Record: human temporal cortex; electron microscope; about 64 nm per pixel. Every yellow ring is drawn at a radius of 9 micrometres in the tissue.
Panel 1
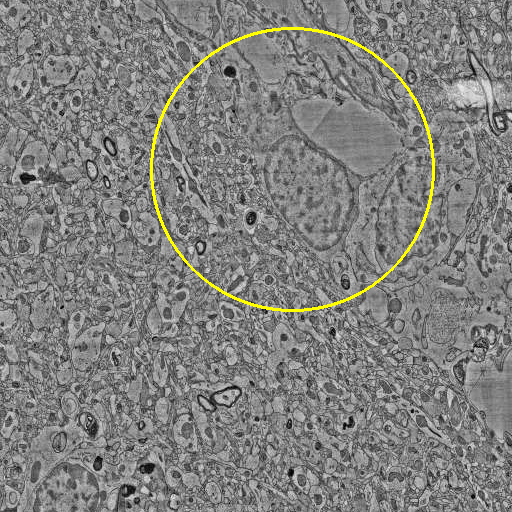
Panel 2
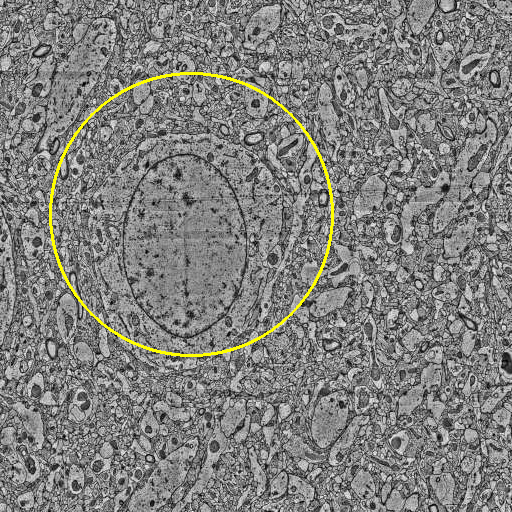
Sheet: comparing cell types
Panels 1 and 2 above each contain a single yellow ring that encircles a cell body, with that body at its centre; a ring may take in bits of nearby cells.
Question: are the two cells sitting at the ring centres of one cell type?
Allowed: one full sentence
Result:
No, the ring-centre cells in Panel 1 and Panel 2 are of two types.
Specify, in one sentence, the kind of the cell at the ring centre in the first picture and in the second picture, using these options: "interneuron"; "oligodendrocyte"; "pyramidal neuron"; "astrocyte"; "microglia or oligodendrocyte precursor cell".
So the first is an oligodendrocyte, the second a pyramidal neuron.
